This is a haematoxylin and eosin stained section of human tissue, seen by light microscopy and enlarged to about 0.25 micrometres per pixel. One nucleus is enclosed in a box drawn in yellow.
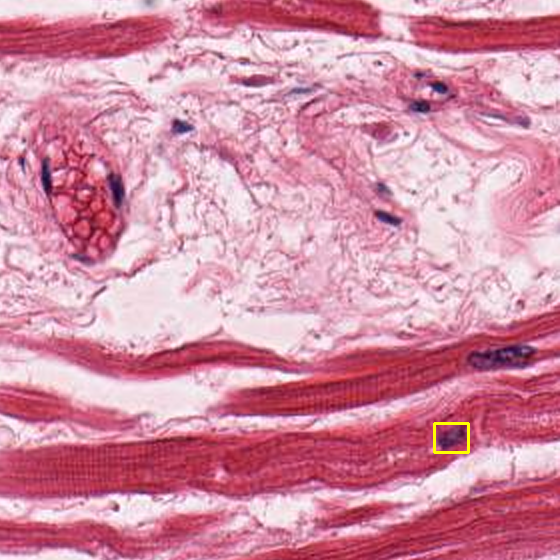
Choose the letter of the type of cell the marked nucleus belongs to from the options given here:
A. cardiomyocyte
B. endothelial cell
A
